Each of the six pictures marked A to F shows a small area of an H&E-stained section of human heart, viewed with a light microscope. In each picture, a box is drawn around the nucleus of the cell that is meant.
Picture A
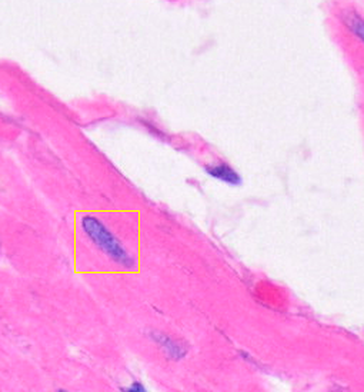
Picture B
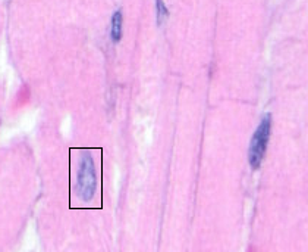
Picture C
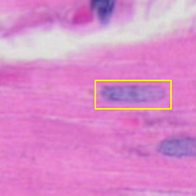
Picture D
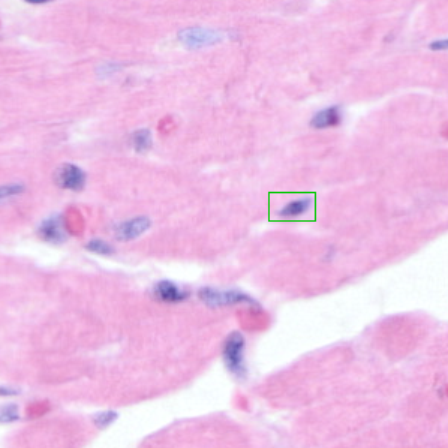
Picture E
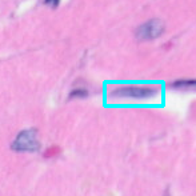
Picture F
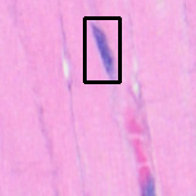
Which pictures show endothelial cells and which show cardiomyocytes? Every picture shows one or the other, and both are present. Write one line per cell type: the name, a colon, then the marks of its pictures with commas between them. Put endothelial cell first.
endothelial cell: D, E, F
cardiomyocyte: A, B, C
